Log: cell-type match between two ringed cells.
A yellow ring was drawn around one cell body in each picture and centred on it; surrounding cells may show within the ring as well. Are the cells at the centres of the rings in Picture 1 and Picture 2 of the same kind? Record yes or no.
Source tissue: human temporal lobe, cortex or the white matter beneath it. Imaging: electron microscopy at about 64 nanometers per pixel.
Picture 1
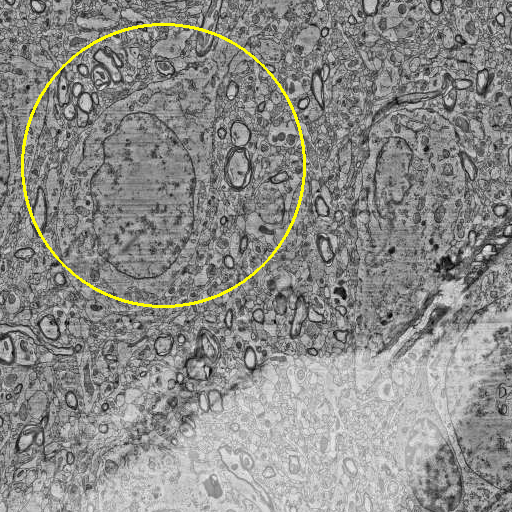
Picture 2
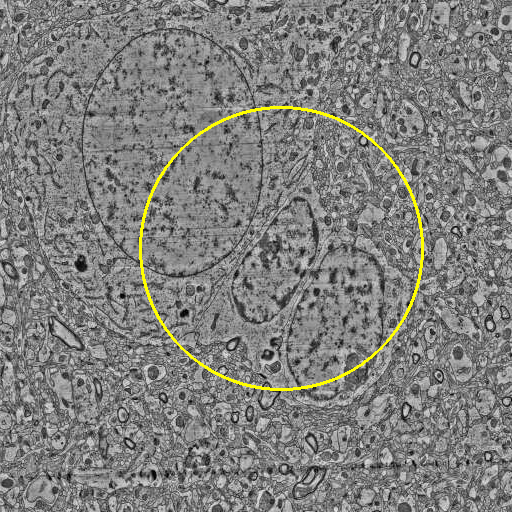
no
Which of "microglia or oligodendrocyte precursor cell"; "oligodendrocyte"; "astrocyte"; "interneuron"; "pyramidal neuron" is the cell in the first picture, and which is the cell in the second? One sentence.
The two differ: the first cell is a pyramidal neuron and the second is a microglial cell or oligodendrocyte precursor cell.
